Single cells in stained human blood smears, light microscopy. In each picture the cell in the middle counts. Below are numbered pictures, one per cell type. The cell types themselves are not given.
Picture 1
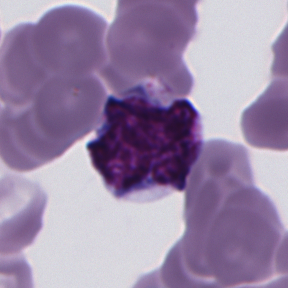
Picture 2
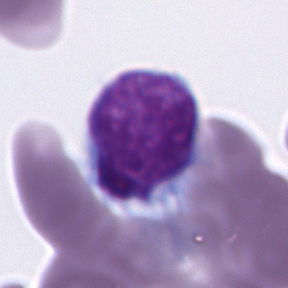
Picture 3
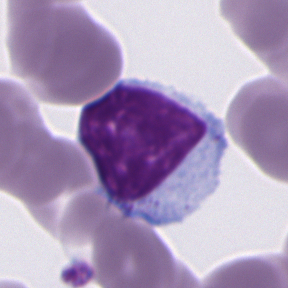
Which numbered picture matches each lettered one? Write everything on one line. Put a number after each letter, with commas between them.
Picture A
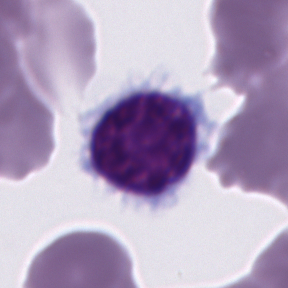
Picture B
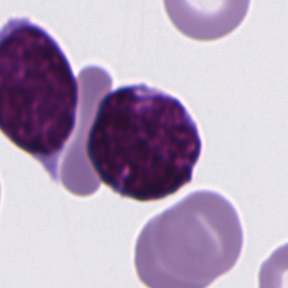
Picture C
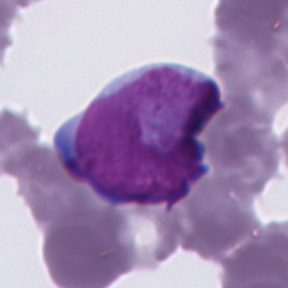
A 2, B 1, C 1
